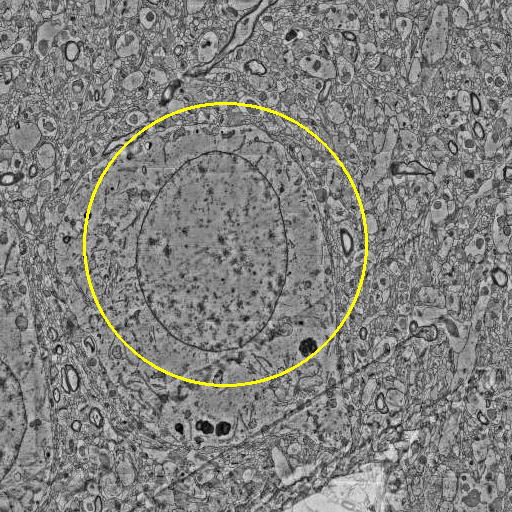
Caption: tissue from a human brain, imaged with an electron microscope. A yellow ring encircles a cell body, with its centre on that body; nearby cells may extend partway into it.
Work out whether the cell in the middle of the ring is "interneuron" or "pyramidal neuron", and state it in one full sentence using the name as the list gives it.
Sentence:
In the picture, the cell that the yellow ring surrounds at its centre is a pyramidal neuron.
